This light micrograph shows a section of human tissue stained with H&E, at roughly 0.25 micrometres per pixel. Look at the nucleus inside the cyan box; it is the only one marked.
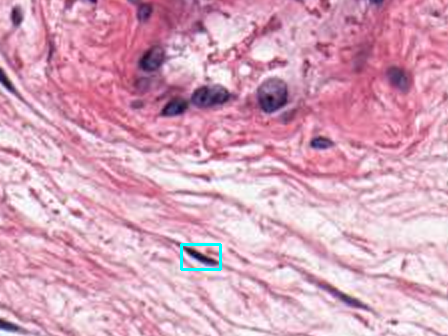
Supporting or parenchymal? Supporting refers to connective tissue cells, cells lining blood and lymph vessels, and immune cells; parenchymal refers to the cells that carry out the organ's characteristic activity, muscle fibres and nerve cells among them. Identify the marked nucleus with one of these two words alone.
supporting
